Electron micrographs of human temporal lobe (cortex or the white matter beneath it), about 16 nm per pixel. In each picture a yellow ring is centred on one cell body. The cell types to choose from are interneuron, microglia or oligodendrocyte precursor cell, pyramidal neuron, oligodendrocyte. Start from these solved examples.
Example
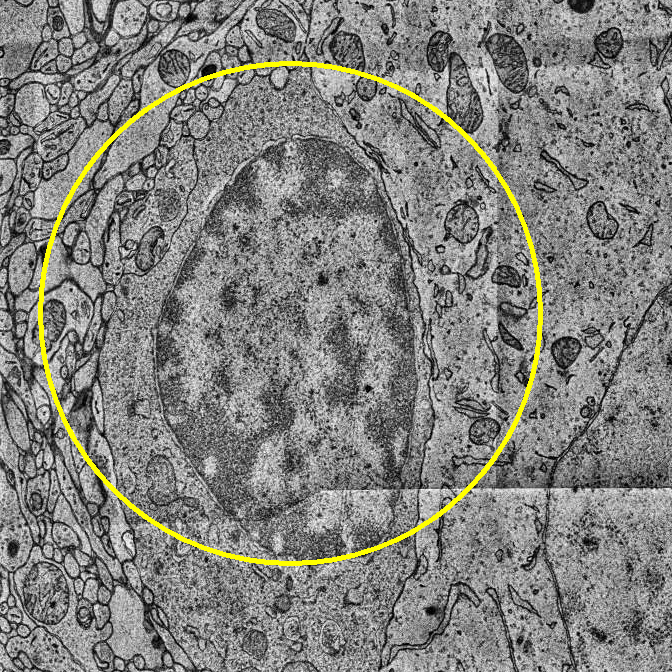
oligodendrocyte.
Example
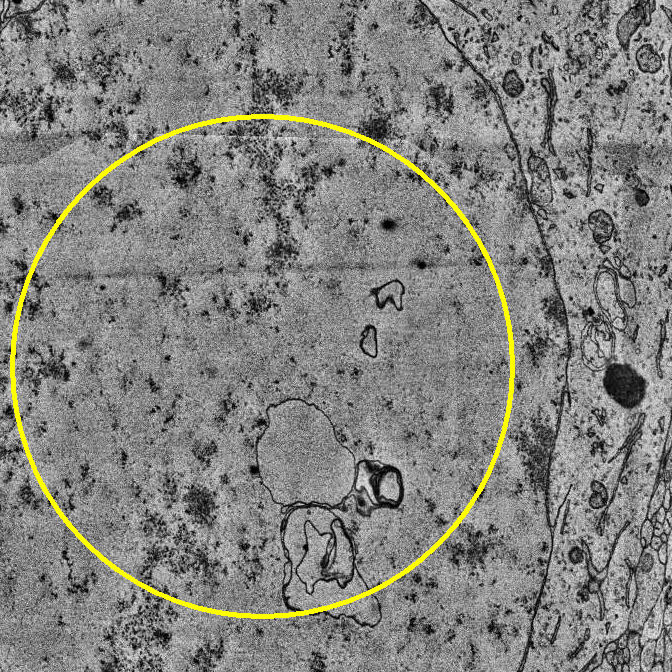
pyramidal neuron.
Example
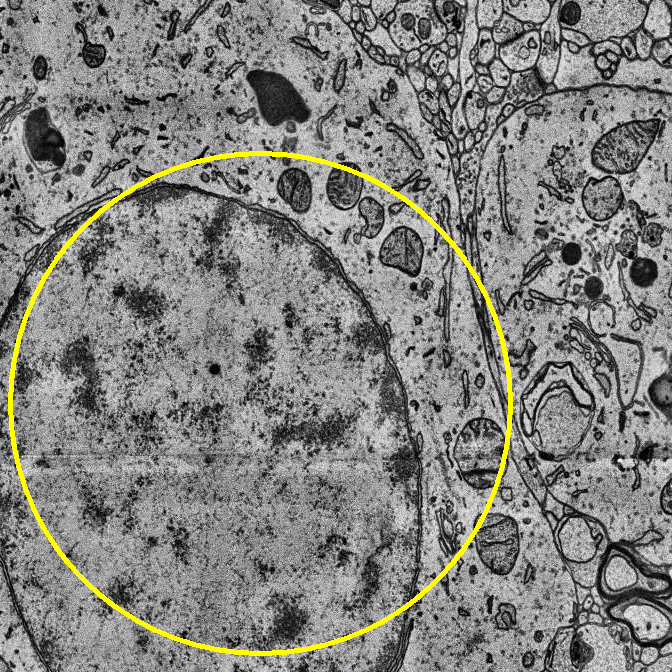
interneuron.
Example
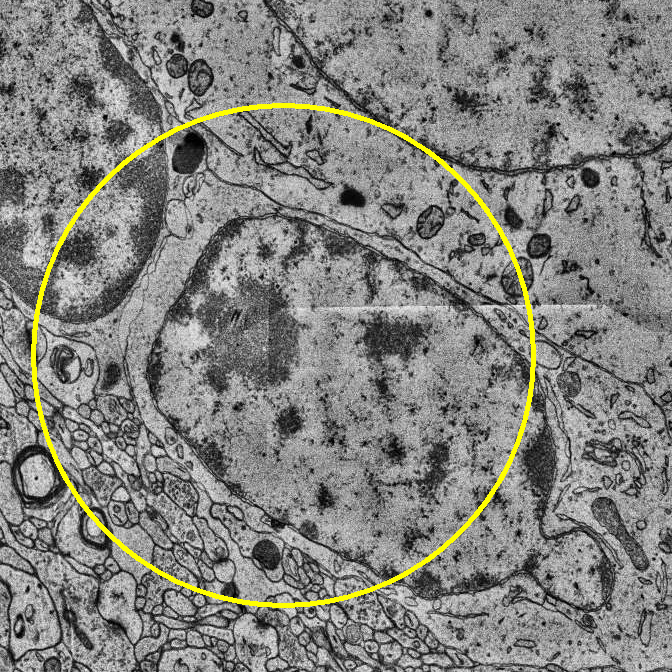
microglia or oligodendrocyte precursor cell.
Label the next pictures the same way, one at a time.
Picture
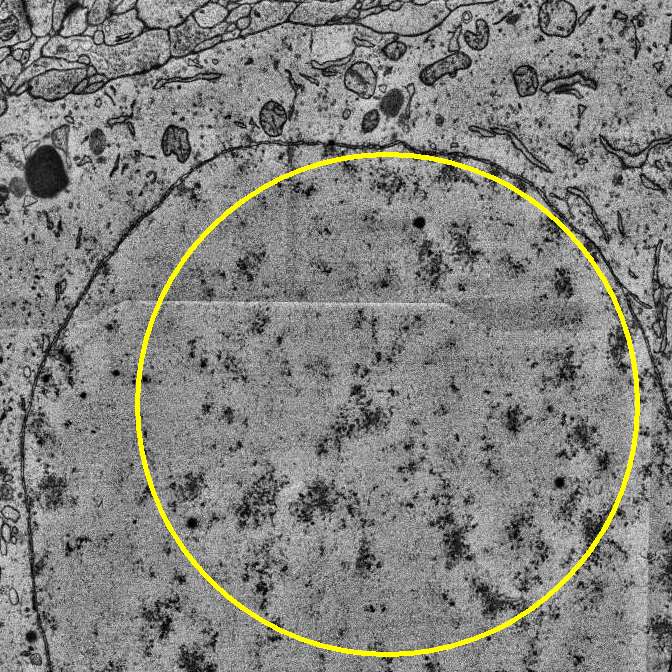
pyramidal neuron.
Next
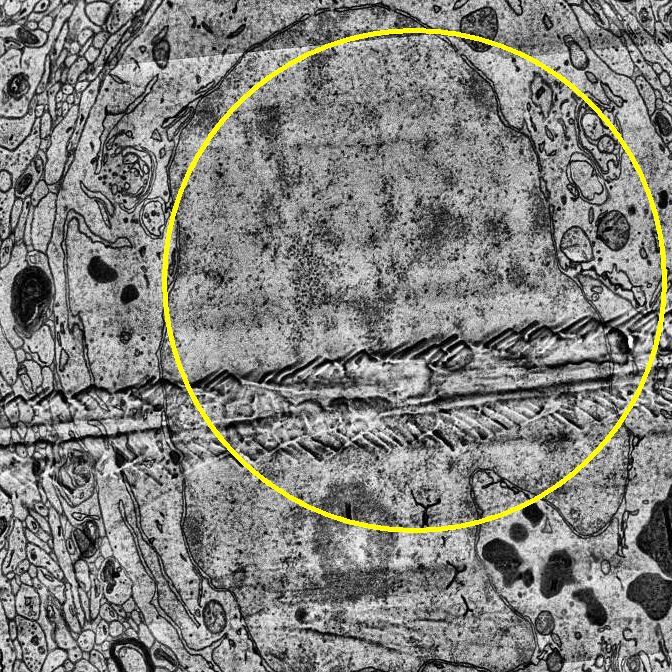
interneuron.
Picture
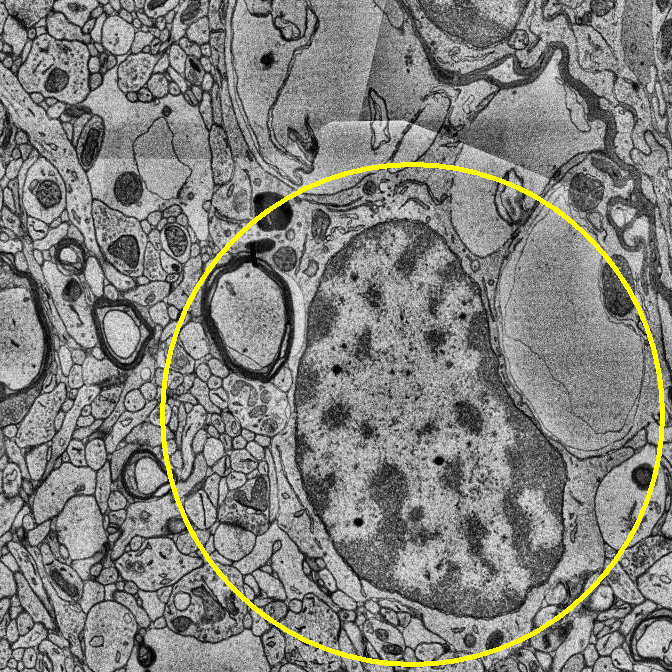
microglia or oligodendrocyte precursor cell.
